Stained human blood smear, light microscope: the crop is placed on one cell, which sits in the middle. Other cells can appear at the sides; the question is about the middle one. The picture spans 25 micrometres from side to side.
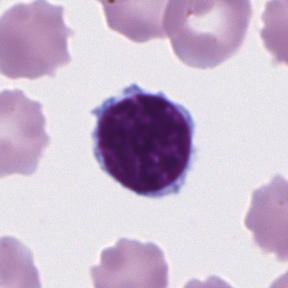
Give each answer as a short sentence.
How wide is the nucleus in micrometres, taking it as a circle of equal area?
Taken as a circle, the nucleus has a diameter of about 8 micrometres.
